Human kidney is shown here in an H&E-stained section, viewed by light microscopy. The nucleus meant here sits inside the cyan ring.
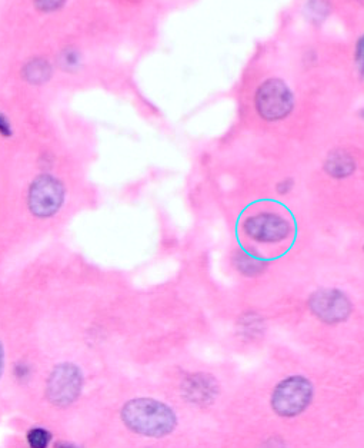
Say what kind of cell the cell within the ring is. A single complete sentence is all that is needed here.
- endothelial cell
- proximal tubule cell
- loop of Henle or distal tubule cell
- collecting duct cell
Speaking plainly, the cell within the ring is nothing other than a proximal tubule cell.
